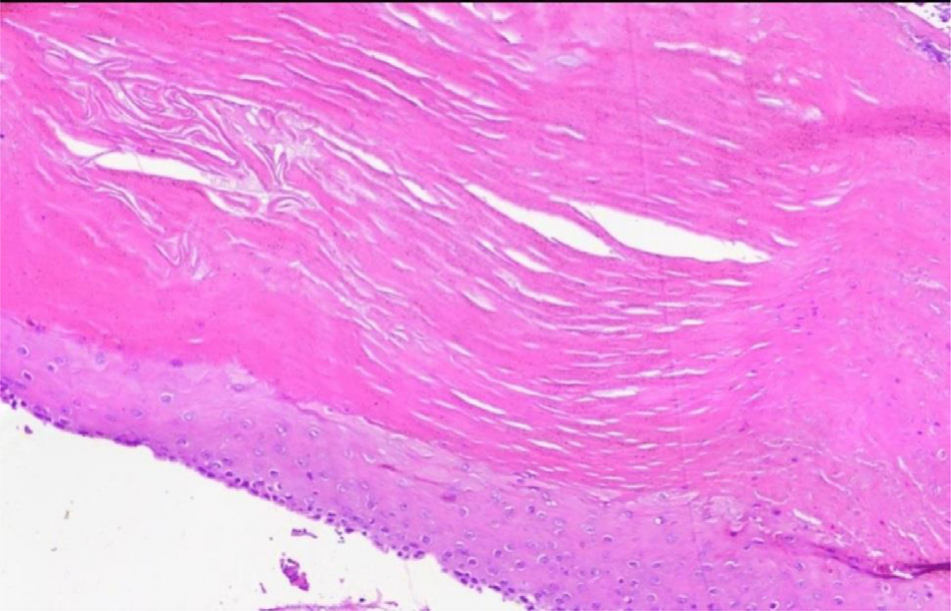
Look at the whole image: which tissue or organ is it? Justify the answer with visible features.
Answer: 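A band of several layers of nucleated cells runs along the lower edge of the tissue.
Conclusion: squamous epithelium lining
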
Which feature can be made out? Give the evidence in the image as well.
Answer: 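A thick, bright pink mass lies on top of the cell layers. The pink mass is made of wavy, lamellated sheets with clefts between them.
Hence: dense eosinophilic keratin.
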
